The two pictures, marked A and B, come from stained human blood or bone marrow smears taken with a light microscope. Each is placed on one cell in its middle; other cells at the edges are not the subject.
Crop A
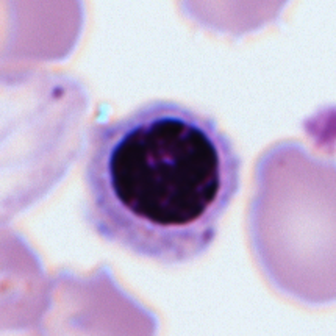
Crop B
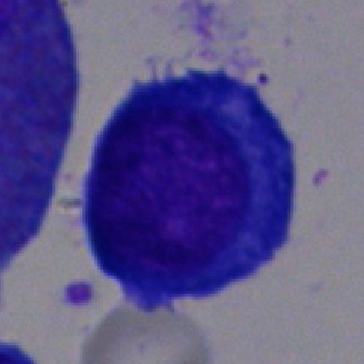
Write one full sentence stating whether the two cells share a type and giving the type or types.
No, crop A captures a normoblast; meanwhile crop B captures a plasma cell.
